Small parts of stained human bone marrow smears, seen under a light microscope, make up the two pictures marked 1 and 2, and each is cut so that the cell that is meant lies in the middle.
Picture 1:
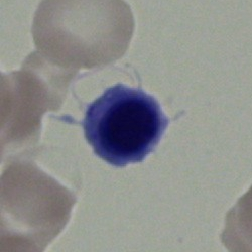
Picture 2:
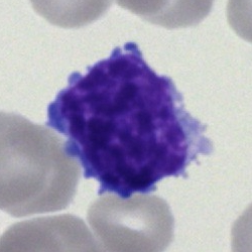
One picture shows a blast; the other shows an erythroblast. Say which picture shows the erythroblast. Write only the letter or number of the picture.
1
